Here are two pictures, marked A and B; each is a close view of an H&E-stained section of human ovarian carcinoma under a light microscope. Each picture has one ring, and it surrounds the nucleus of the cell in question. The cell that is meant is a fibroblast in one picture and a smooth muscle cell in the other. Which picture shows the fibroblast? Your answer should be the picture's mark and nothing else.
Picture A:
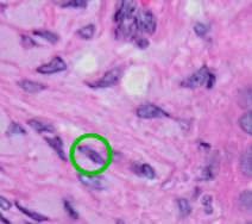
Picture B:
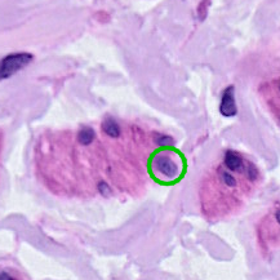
A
